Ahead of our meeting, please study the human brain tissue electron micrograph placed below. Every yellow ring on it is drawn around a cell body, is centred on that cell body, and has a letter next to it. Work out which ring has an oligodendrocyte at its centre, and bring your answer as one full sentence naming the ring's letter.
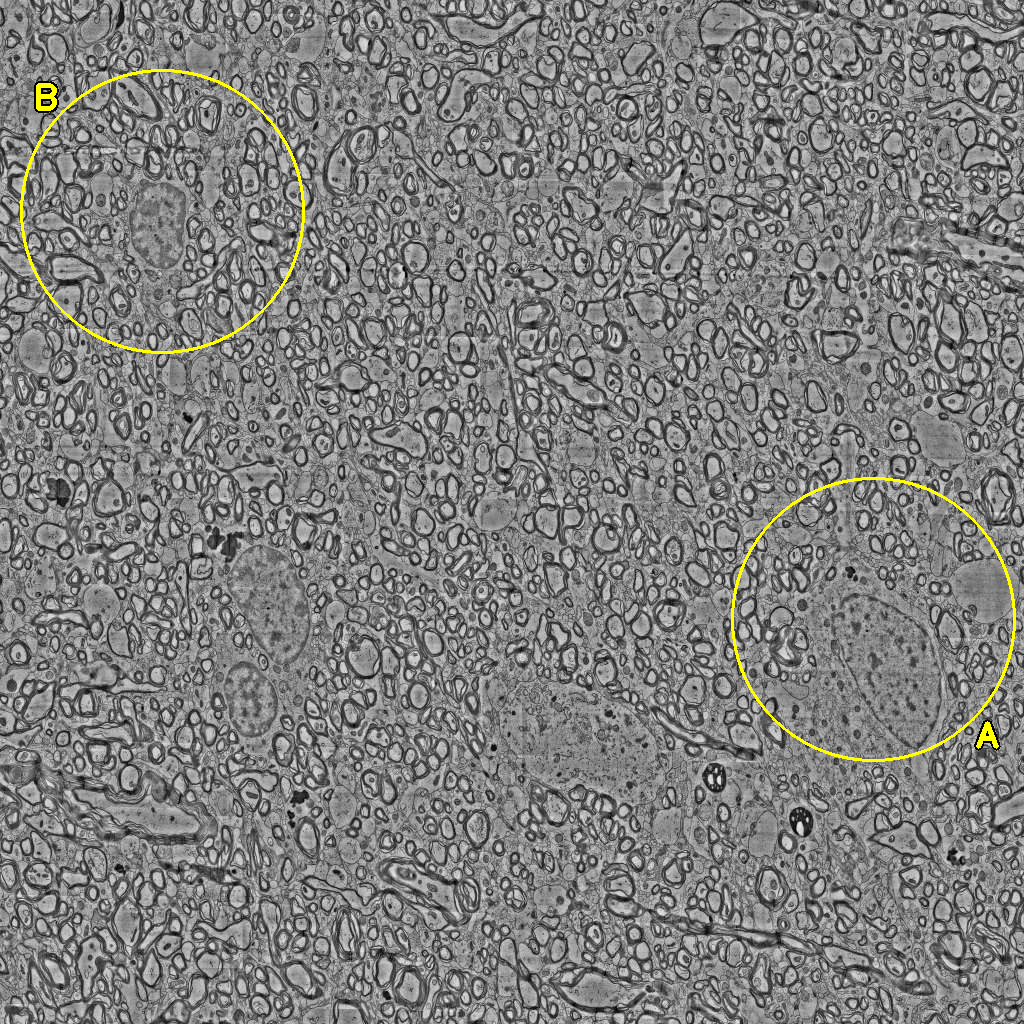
In the micrograph, ring B is the one centred on the cell I was asked to find.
